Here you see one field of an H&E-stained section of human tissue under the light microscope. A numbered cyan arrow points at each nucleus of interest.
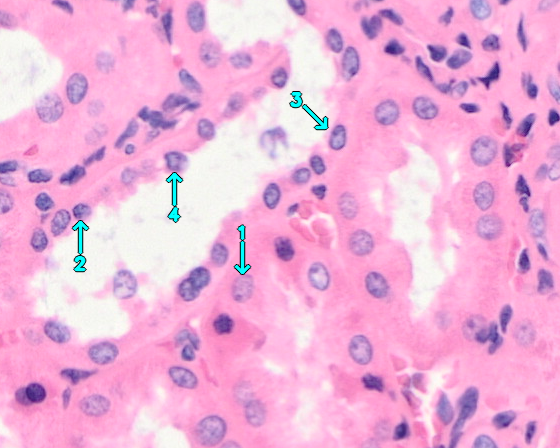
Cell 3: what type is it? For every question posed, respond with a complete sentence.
Belonging to a loop of Henle or distal tubule cell is the nucleus that carries the number 3.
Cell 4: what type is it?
Number 4 is placed on a loop of Henle or distal tubule cell here.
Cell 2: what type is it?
Belonging to a loop of Henle or distal tubule cell is the nucleus that carries the number 2.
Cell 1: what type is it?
In the tissue shown, cell 1 is a proximal tubule cell.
